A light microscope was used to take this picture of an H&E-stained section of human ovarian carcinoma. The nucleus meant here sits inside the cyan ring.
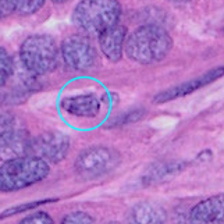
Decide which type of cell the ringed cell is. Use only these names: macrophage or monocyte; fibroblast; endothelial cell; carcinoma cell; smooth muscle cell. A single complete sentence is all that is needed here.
With respect to cell type, the ringed cell is a macrophage or monocyte.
